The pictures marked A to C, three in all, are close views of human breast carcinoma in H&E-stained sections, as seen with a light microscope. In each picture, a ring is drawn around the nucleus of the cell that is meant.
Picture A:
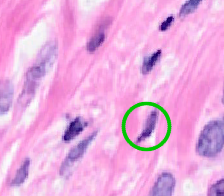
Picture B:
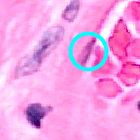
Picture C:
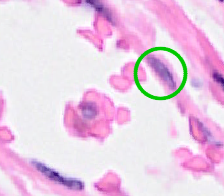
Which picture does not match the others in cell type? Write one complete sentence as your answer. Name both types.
Picture A is the odd one out: it shows a fibroblast, while the others show endothelial cells.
